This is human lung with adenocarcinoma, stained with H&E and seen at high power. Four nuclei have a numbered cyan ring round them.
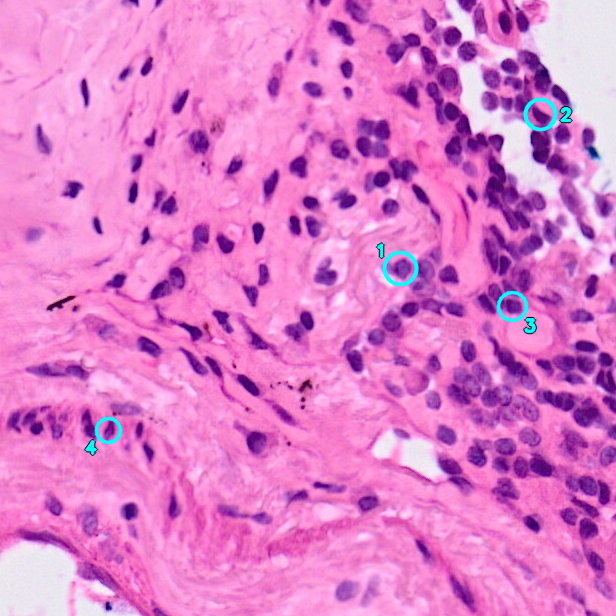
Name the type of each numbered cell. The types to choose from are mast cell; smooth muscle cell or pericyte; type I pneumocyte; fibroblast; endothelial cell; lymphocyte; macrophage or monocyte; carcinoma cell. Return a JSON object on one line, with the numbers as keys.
{"1": "lymphocyte", "2": "lymphocyte", "3": "lymphocyte", "4": "smooth muscle cell or pericyte"}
